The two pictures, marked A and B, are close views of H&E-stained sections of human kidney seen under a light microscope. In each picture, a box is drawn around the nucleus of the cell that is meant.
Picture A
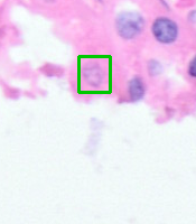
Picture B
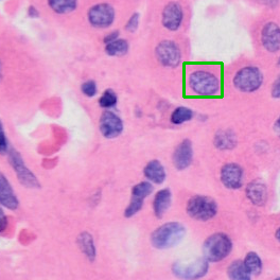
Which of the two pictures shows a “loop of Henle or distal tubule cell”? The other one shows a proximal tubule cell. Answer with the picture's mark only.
B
